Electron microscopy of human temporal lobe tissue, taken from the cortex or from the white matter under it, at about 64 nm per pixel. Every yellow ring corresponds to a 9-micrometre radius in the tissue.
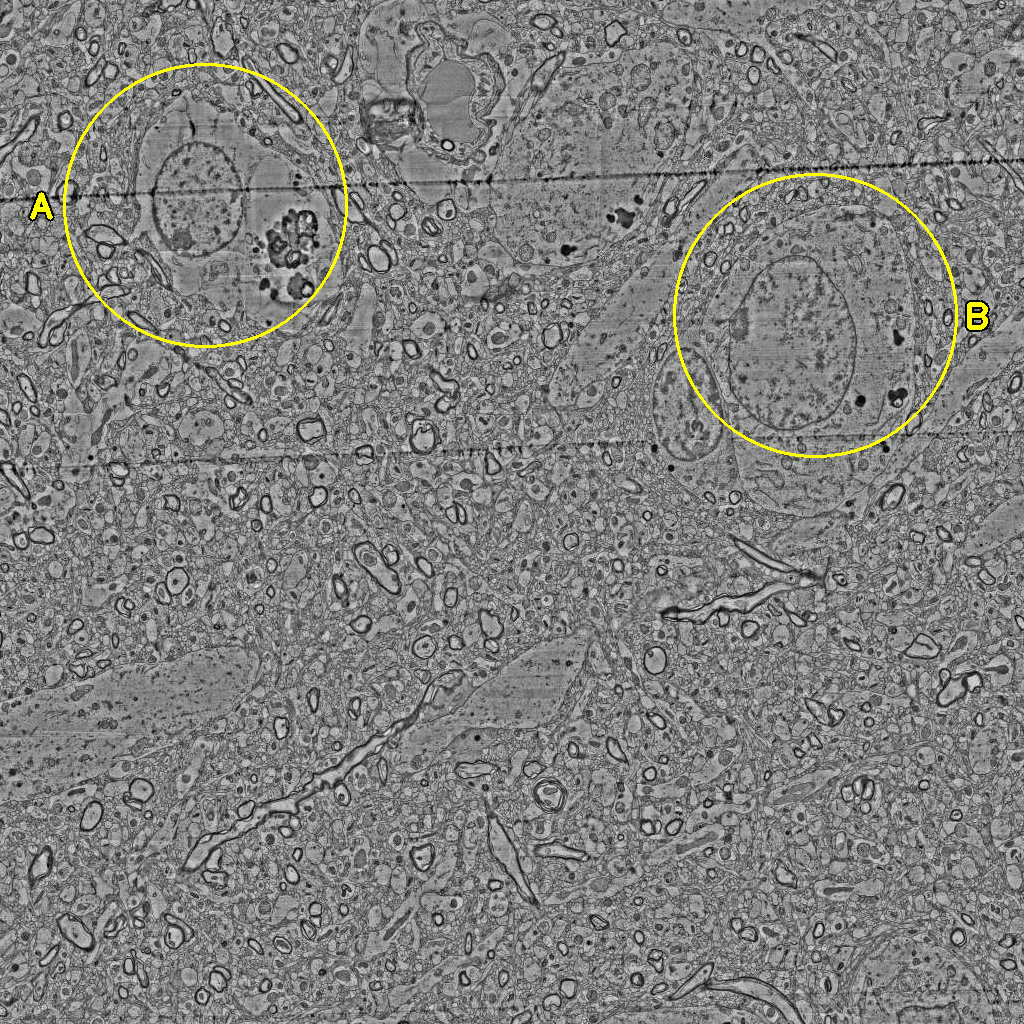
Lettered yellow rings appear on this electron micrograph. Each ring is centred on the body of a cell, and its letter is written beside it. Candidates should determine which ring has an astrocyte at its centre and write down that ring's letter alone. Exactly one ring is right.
A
